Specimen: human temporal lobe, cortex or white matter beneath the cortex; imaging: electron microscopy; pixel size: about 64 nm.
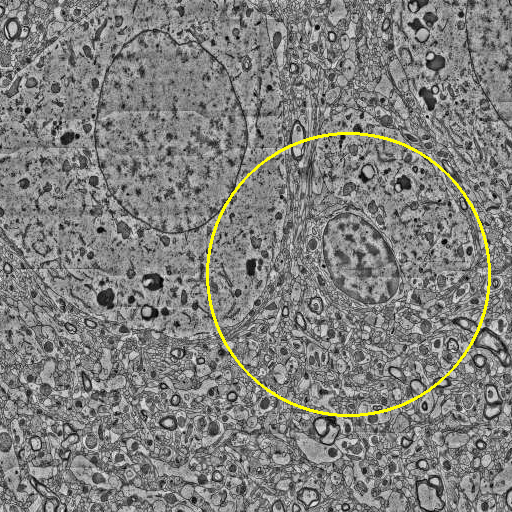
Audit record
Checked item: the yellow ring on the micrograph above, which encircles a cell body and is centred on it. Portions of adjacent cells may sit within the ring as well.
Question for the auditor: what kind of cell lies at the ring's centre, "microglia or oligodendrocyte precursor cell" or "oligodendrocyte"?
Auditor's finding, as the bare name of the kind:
microglia or oligodendrocyte precursor cell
